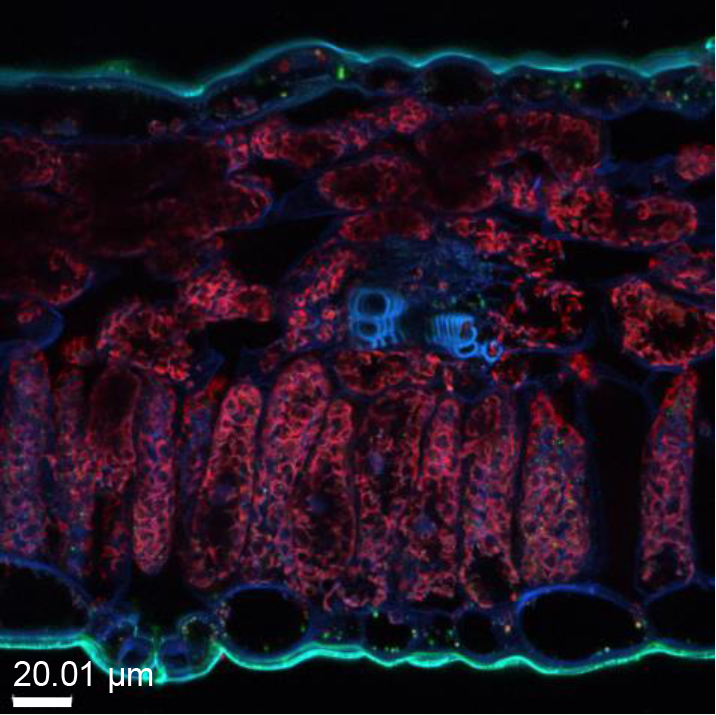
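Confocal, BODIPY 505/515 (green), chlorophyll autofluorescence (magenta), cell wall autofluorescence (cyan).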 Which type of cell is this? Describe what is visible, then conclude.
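Cells packed with magenta chloroplasts lie between two cyan-edged epidermal layers. A row of elongated column-like cells stands side by side, with looser rounded cells and air spaces on the other side.
Mesophyll cells.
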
